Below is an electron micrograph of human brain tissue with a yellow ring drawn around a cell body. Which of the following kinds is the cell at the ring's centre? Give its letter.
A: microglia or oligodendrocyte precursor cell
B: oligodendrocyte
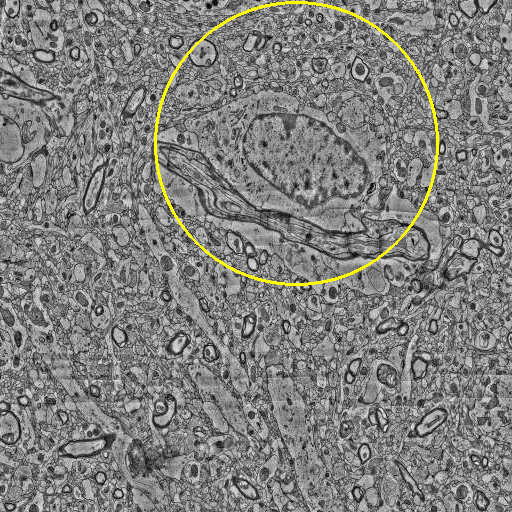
A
